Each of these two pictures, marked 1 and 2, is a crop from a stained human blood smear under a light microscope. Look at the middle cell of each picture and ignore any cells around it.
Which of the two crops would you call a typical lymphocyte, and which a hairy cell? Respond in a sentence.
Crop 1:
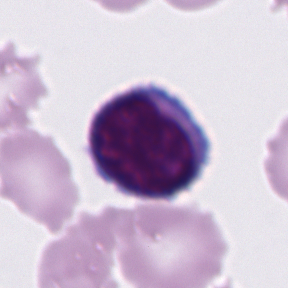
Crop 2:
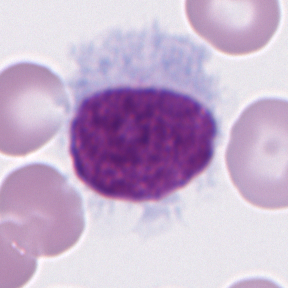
Crop 1 is a typical lymphocyte; crop 2, on the other hand, is a hairy cell.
